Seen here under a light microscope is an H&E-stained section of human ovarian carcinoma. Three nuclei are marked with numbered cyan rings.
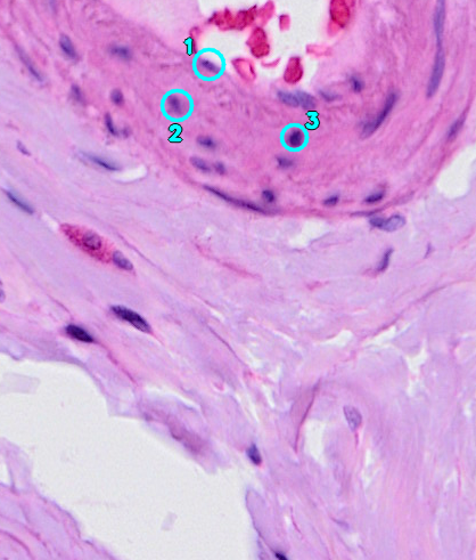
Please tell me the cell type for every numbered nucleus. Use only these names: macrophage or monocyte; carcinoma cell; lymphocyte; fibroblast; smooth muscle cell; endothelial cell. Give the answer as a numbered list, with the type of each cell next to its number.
1. endothelial cell
2. smooth muscle cell
3. smooth muscle cell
